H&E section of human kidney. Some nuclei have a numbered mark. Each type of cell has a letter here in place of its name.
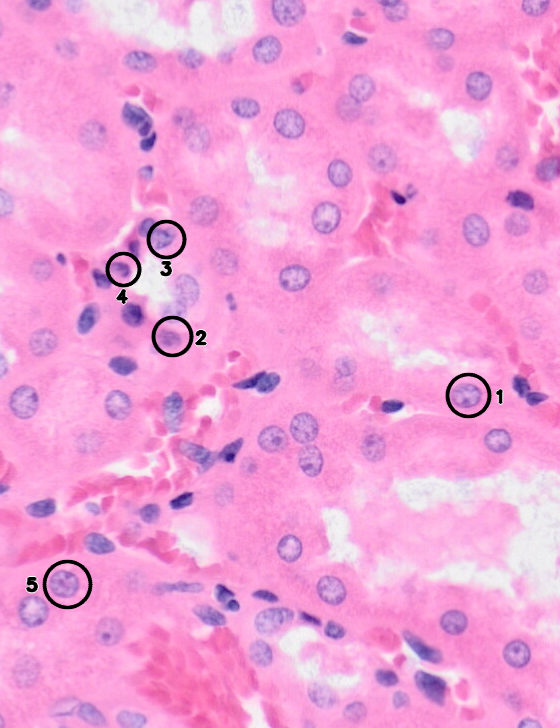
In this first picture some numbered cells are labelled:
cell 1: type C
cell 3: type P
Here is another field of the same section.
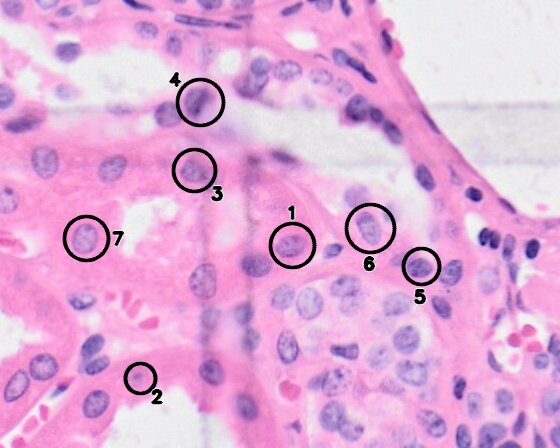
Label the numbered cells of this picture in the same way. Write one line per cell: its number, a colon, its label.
1: type C
2: type C
3: type C
4: type P
5: type P
6: type P
7: type C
